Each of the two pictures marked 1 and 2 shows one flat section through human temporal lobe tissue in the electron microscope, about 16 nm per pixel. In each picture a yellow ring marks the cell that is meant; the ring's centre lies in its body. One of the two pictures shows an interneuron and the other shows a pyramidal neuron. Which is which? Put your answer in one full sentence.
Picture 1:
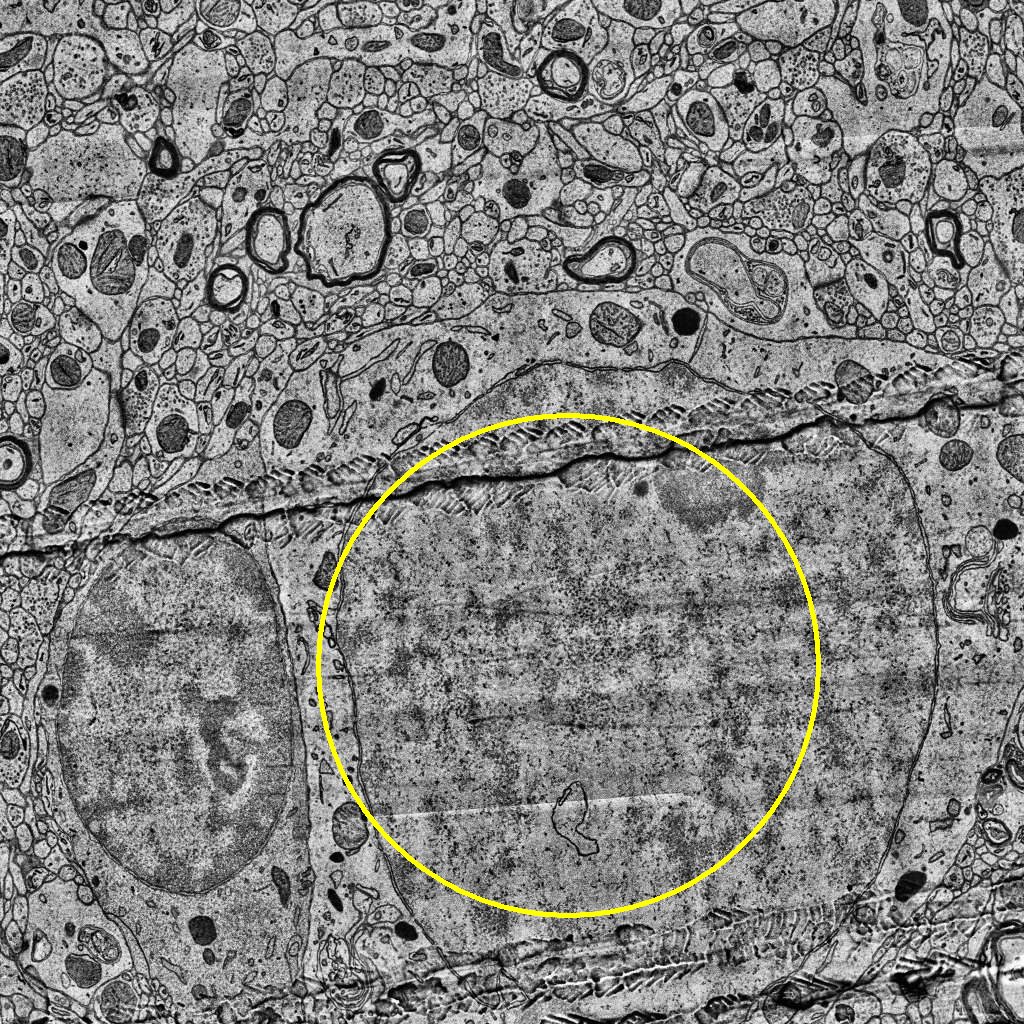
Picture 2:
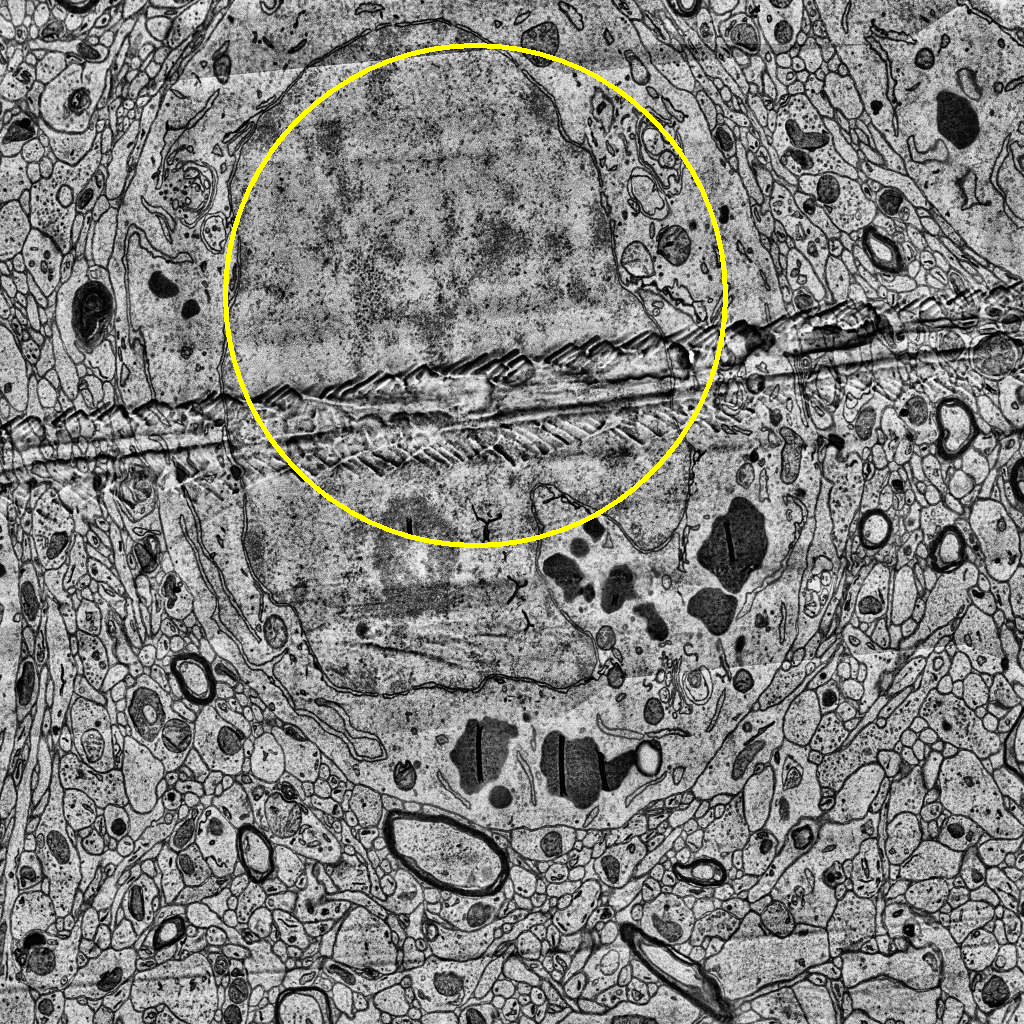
In picture 1 the cell is a pyramidal neuron; in picture 2, an interneuron.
